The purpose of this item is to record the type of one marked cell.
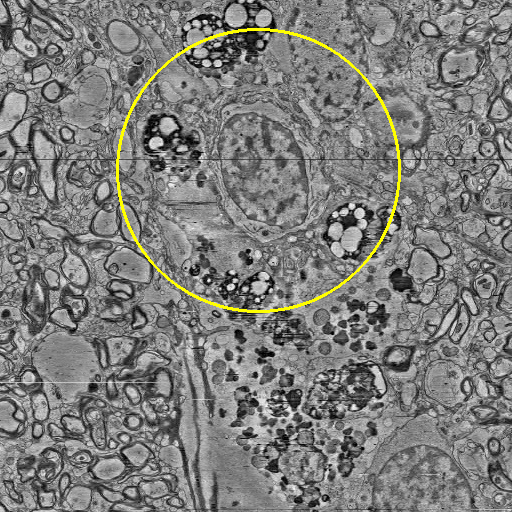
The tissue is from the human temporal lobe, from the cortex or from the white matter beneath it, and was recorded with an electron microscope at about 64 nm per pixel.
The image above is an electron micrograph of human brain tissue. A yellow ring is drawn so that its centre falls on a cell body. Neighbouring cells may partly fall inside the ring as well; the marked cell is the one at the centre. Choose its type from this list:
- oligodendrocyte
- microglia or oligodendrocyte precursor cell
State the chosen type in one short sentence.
What the ring marks here is a microglial cell or oligodendrocyte precursor cell.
